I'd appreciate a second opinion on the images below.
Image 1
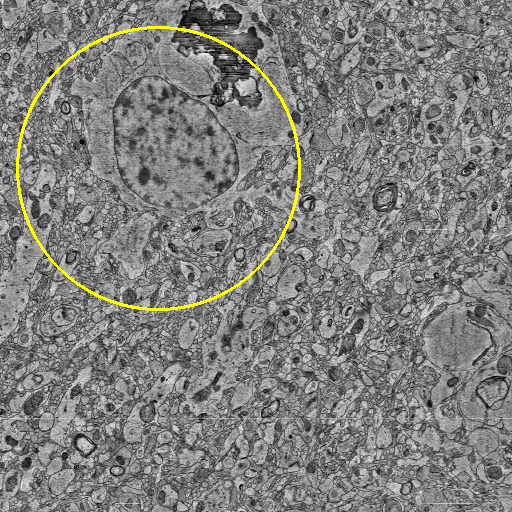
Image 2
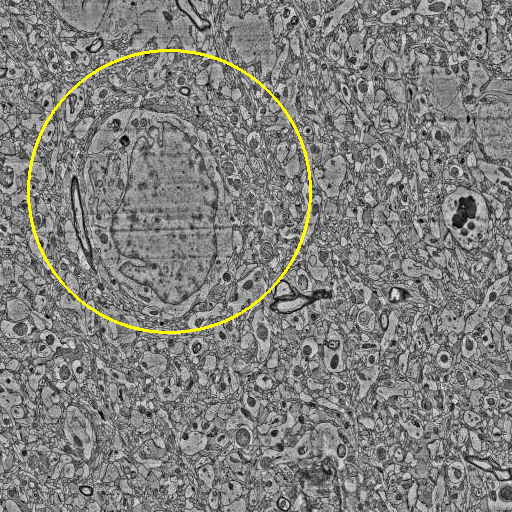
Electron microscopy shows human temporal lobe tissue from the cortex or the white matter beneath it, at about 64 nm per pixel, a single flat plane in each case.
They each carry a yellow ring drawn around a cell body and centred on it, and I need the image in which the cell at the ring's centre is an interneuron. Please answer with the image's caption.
Image 2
